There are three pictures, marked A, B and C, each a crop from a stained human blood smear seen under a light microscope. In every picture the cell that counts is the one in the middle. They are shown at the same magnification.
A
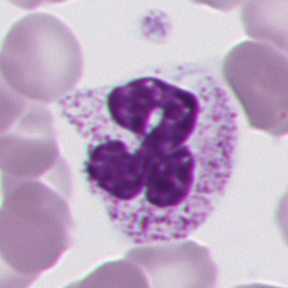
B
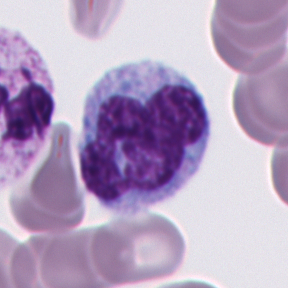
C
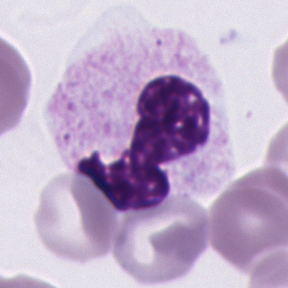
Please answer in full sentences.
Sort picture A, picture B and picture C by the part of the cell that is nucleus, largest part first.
They run B, A, C, the most filled first.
